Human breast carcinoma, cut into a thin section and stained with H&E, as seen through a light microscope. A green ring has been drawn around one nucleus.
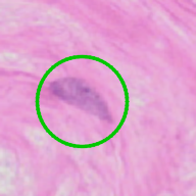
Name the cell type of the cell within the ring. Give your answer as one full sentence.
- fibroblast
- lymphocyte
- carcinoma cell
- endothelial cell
Among the cells in this section, the cell within the ring is a fibroblast.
